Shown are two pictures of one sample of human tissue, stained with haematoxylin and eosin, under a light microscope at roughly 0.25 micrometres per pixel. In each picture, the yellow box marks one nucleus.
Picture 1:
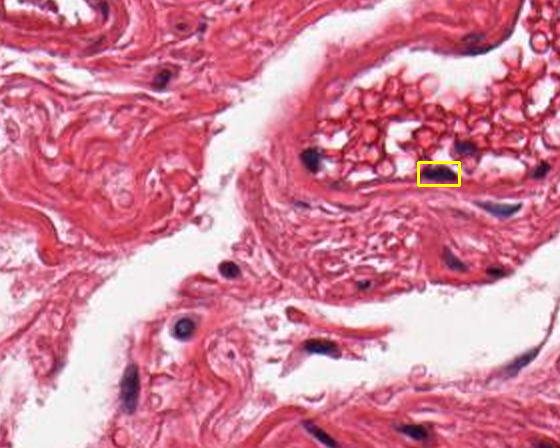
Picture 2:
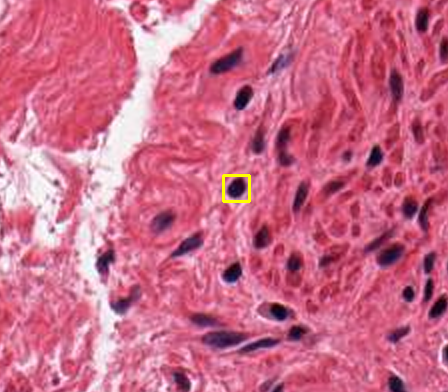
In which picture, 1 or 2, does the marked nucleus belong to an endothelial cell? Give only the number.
1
